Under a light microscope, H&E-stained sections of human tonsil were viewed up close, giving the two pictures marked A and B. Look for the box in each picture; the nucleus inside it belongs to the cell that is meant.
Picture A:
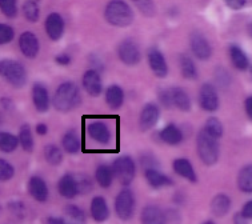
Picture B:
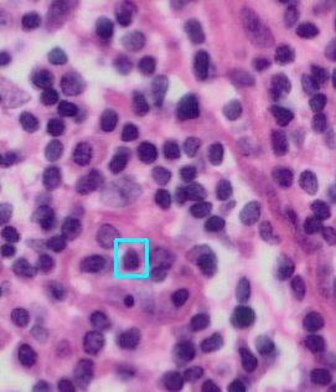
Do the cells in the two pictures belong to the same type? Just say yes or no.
no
